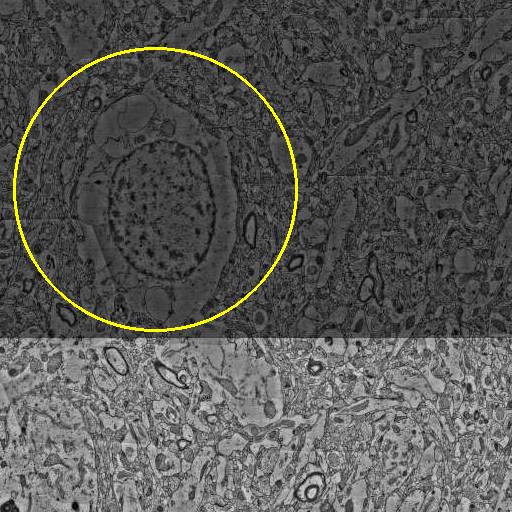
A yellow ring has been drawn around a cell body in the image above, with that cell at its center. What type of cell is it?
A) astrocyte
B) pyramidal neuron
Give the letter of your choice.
A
